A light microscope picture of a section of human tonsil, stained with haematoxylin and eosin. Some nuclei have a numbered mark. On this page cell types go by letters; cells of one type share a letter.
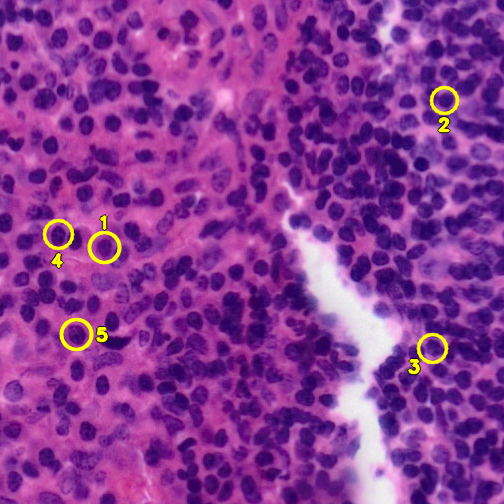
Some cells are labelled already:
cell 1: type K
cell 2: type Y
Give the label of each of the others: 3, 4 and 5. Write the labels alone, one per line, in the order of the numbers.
type Y
type K
type K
